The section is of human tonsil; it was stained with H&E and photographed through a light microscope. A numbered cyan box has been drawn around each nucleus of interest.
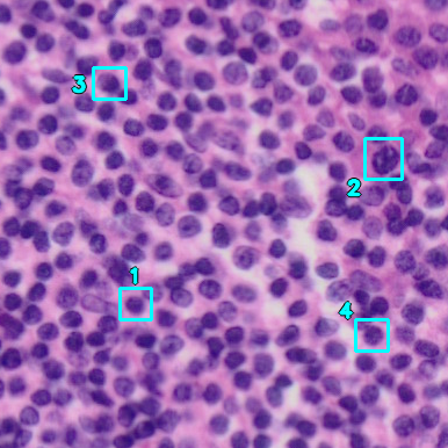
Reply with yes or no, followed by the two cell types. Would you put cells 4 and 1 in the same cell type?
Yes, both are small lymphocytes.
